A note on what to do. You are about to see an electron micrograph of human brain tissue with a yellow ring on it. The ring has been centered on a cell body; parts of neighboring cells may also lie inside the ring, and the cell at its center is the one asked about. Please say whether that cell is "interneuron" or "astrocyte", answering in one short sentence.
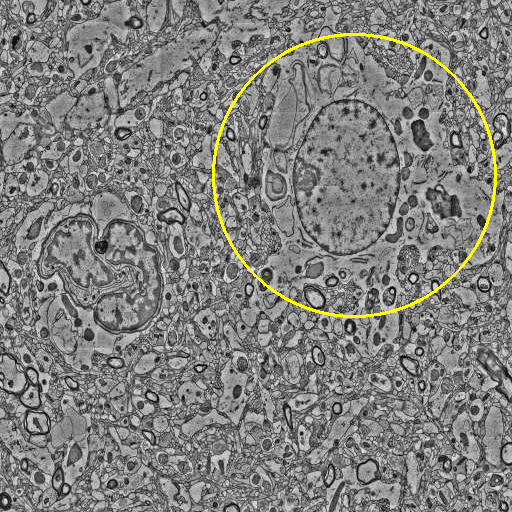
The yellow ring sits on an astrocyte.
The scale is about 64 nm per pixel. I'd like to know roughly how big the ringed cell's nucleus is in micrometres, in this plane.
The nucleus is approximately 10 micrometers long by 7 micrometers wide in this plane.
